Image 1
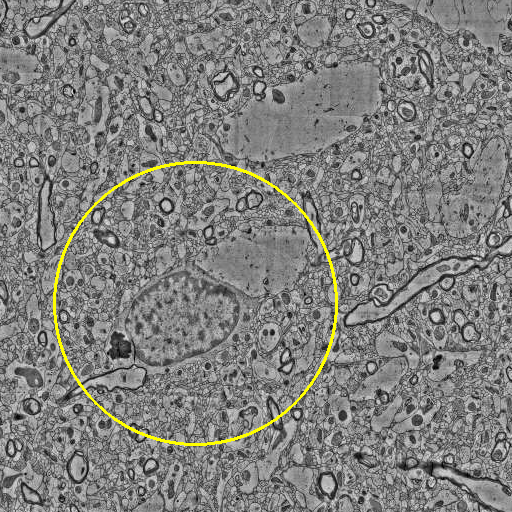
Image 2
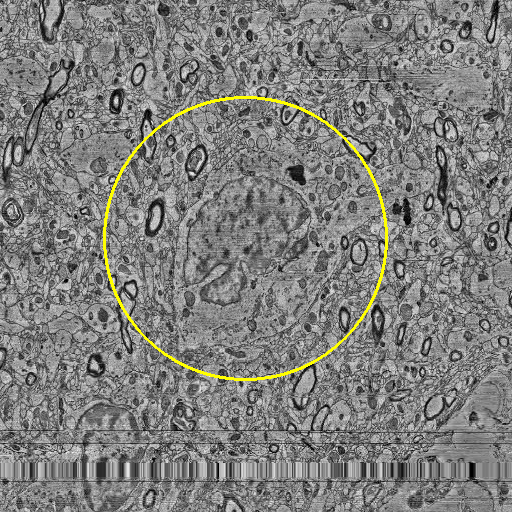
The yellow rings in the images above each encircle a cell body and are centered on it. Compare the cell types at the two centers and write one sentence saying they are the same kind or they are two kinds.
Taken together, the two cells at the ring centers are two kinds.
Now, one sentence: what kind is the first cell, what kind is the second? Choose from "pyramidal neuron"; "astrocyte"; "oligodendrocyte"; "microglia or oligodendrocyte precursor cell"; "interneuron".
The first picture has an oligodendrocyte at its ring centre, and the second has an interneuron.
